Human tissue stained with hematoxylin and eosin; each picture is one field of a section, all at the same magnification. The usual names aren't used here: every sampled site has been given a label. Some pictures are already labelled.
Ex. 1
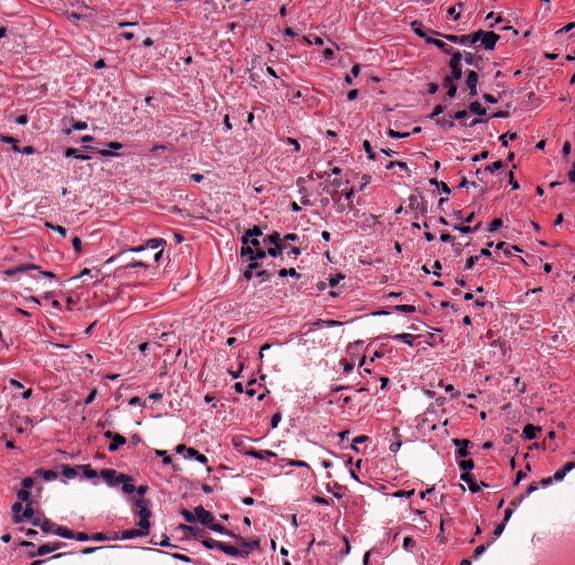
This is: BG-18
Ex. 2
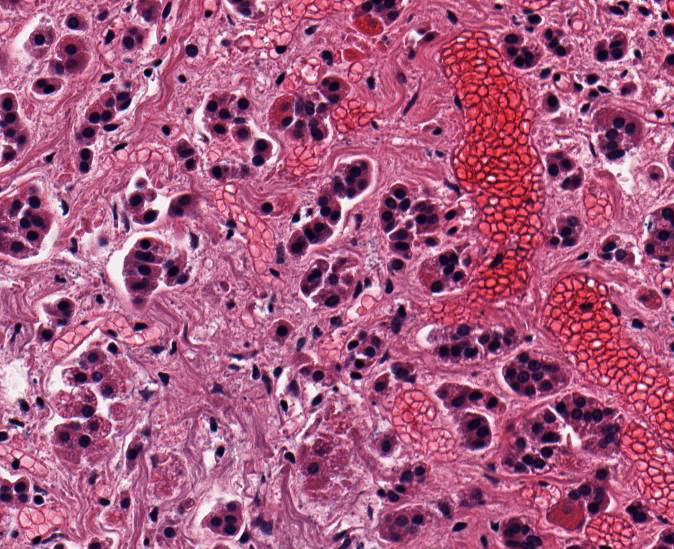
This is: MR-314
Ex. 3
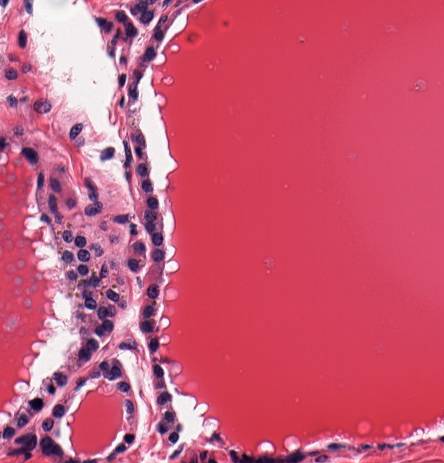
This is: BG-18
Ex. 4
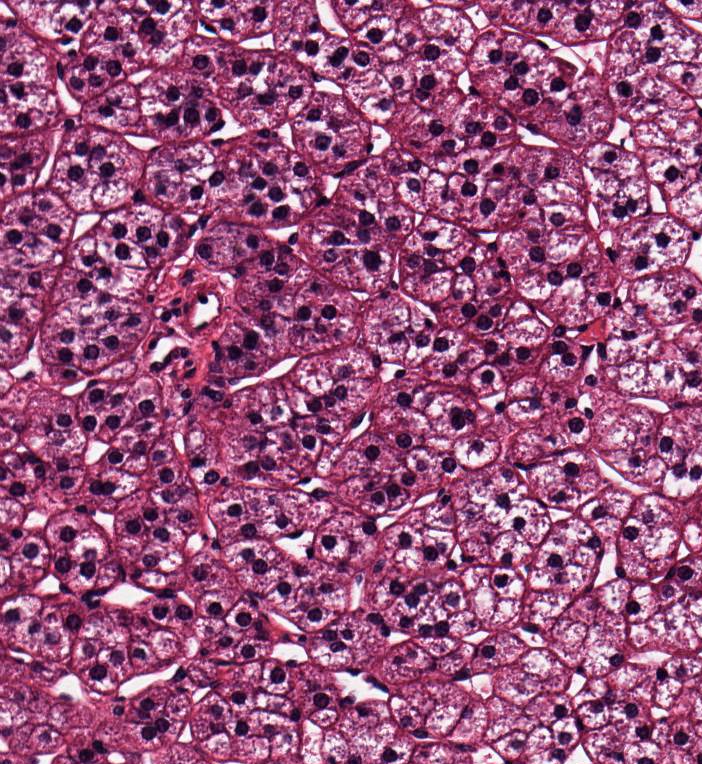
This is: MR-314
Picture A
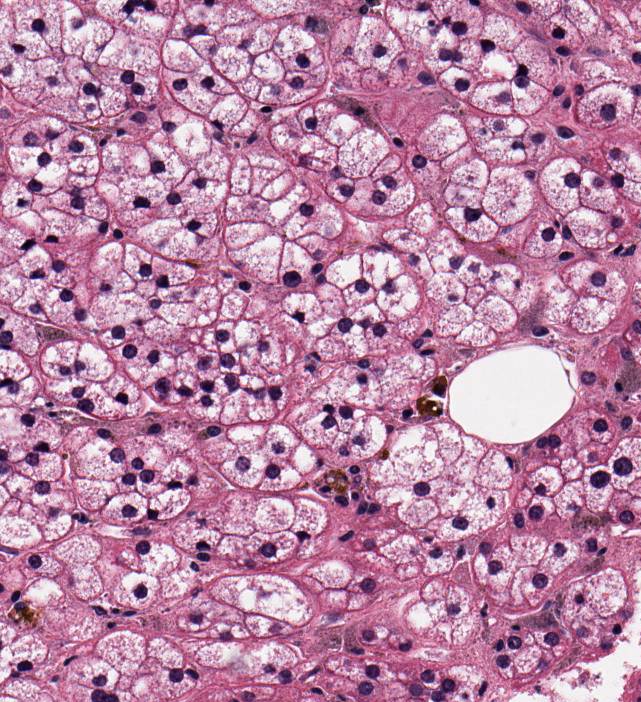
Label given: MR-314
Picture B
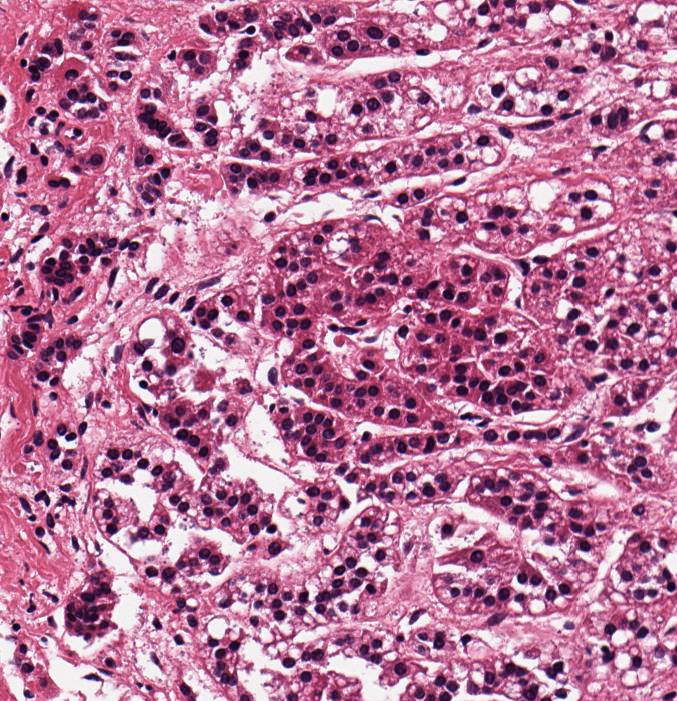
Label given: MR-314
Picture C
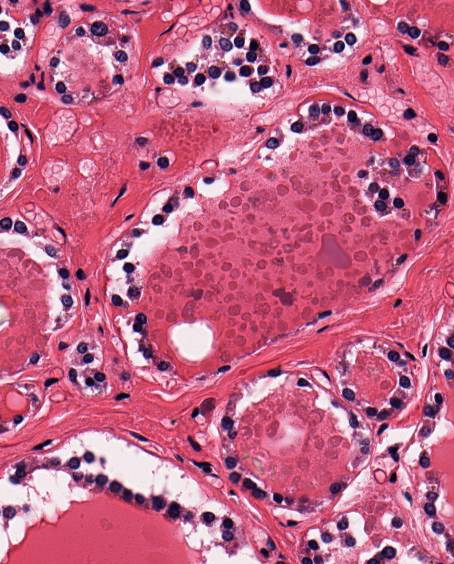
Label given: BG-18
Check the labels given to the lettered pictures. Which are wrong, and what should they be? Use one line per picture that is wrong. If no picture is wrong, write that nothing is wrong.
All correct.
